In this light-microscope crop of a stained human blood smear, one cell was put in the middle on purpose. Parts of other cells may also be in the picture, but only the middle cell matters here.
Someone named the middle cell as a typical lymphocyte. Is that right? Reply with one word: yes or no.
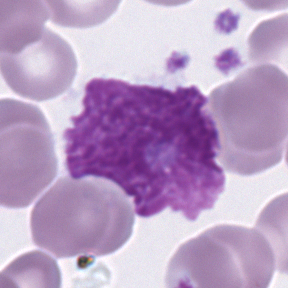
no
